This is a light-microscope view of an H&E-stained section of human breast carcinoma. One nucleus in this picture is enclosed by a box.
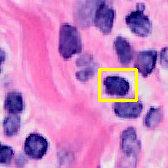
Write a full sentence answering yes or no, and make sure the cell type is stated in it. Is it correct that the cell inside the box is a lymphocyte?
Yes, within this tissue section, the cell inside the box is a lymphocyte.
